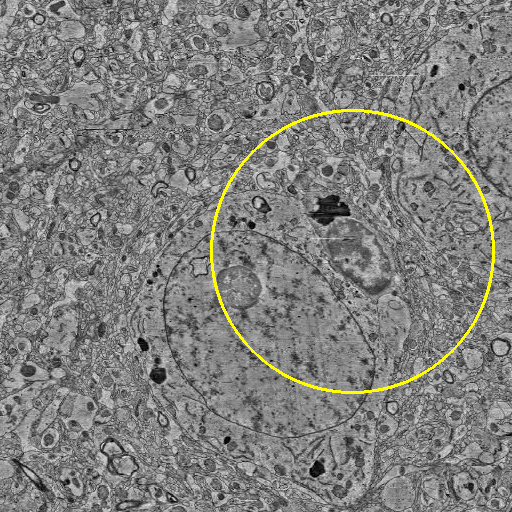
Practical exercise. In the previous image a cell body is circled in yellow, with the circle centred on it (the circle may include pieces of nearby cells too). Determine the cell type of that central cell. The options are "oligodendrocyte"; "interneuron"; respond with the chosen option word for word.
oligodendrocyte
